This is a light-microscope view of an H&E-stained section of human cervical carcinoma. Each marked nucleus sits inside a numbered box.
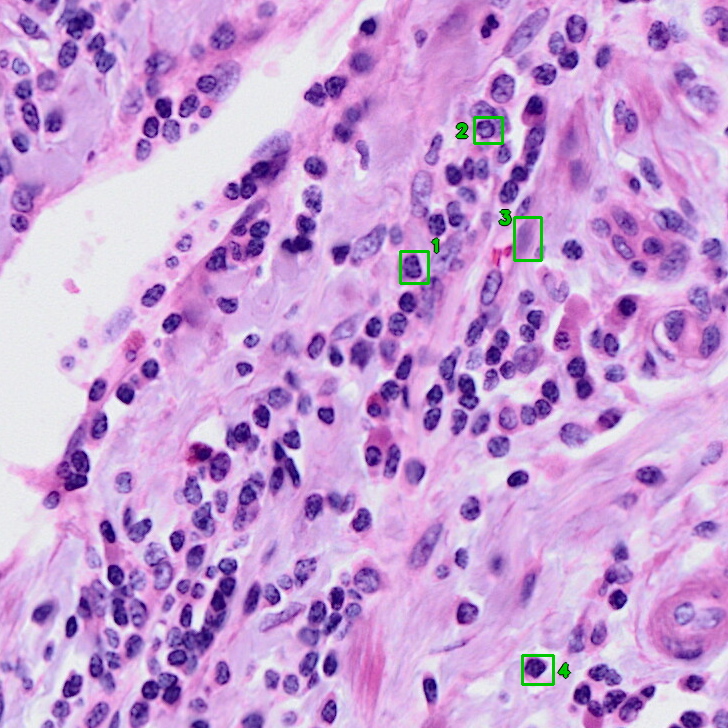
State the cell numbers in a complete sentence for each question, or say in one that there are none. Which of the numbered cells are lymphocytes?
Within this tissue, the cells numbered 1, 2 and 4 are lymphocytes.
